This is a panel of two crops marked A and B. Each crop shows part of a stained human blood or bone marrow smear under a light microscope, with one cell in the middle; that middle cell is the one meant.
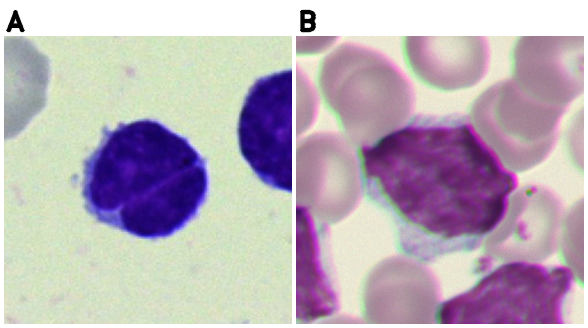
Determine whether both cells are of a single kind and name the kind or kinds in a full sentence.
Yes, lymphocytes are seen in both crops.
